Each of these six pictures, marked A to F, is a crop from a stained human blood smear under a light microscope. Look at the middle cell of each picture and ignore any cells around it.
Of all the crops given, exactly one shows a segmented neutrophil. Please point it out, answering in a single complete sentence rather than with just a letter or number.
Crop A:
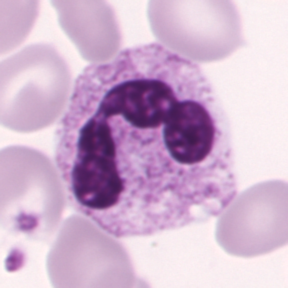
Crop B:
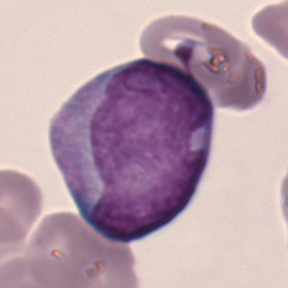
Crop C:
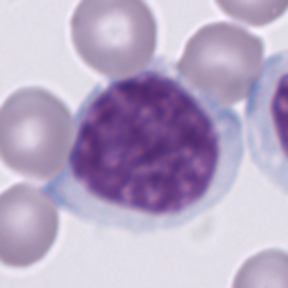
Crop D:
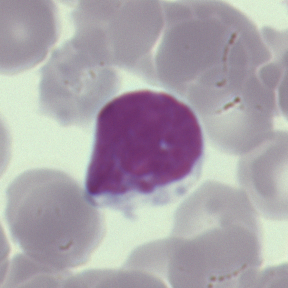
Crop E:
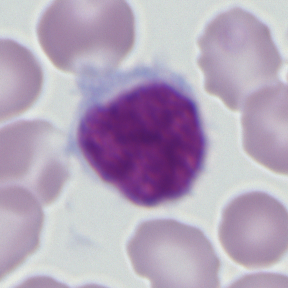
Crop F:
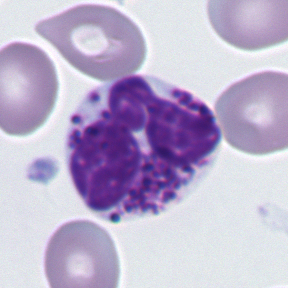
The crop marked A is the one that shows a segmented neutrophil.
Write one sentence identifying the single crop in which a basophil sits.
The crop with a basophil in it is crop F.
